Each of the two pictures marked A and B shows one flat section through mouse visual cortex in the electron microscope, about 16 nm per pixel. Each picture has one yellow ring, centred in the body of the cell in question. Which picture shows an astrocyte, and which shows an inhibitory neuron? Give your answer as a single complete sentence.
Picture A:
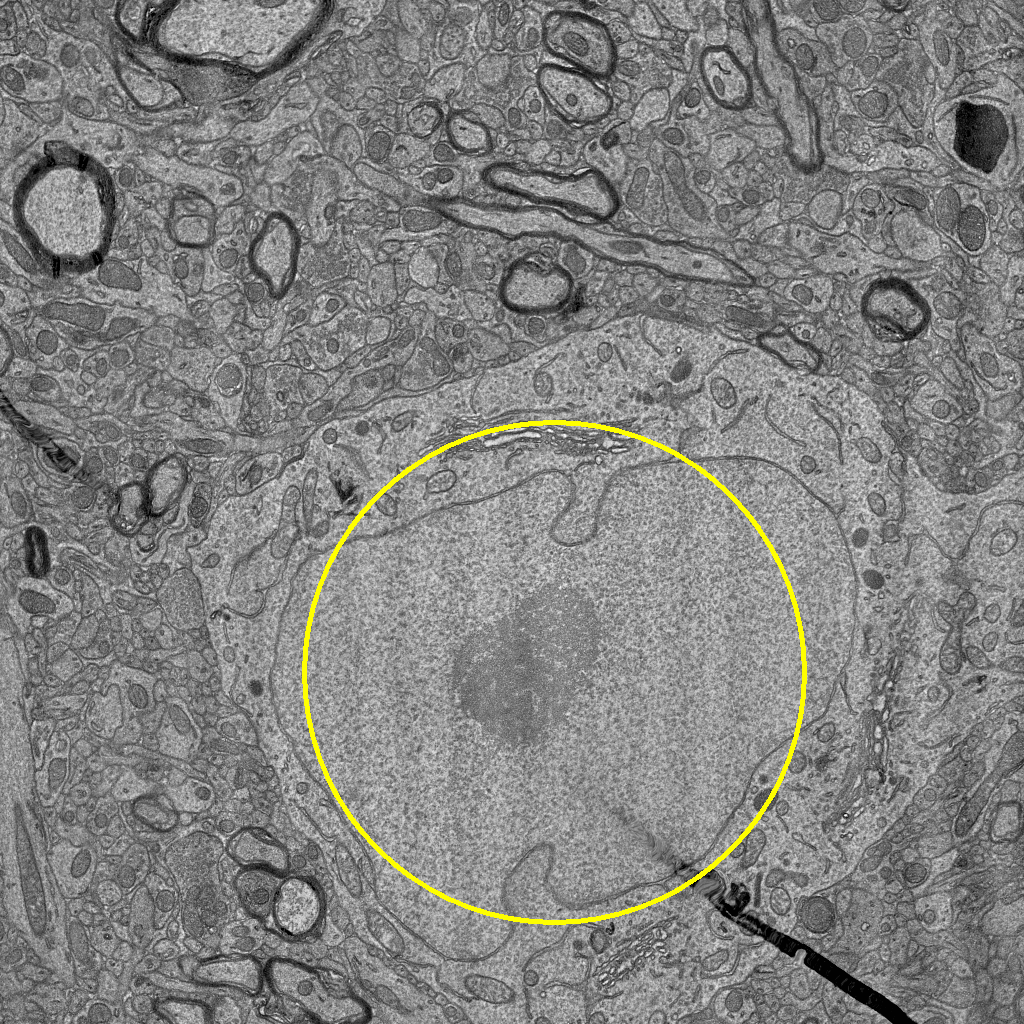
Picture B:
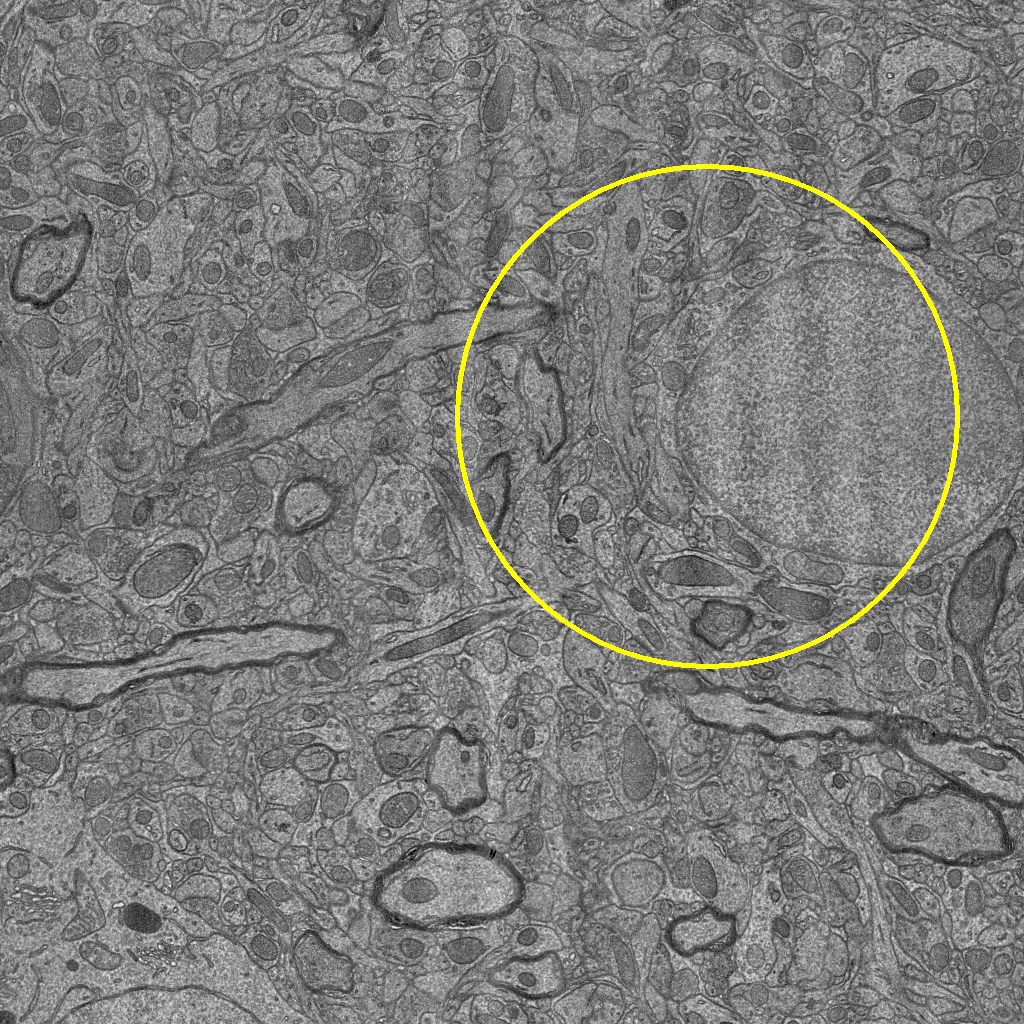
Picture A shows an inhibitory neuron and picture B shows an astrocyte.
